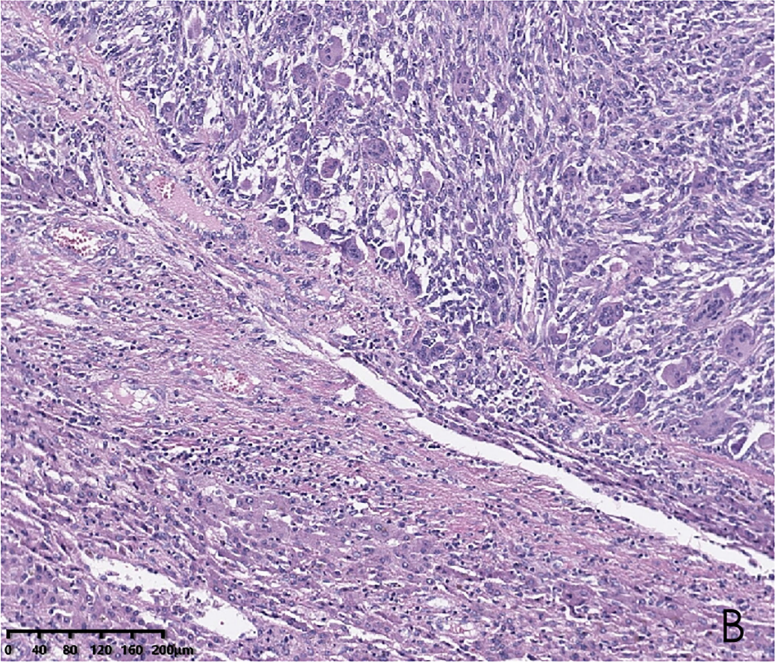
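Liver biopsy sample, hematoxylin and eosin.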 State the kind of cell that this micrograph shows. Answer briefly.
osteoclast-like giant cells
